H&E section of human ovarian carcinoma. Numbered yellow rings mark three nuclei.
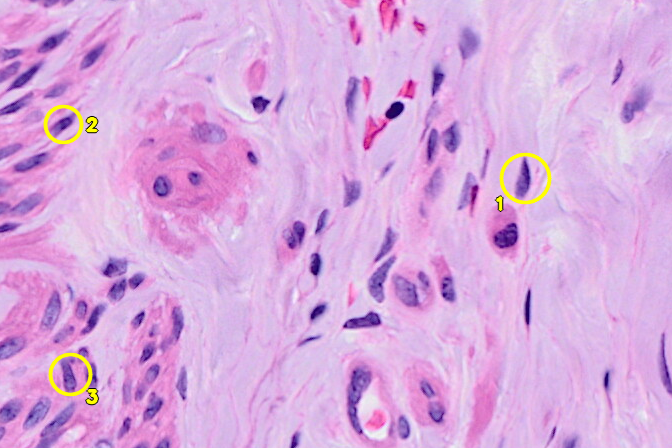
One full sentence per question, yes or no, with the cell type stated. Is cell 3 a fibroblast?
No, the cell at number 3 is a smooth muscle cell instead of a fibroblast.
